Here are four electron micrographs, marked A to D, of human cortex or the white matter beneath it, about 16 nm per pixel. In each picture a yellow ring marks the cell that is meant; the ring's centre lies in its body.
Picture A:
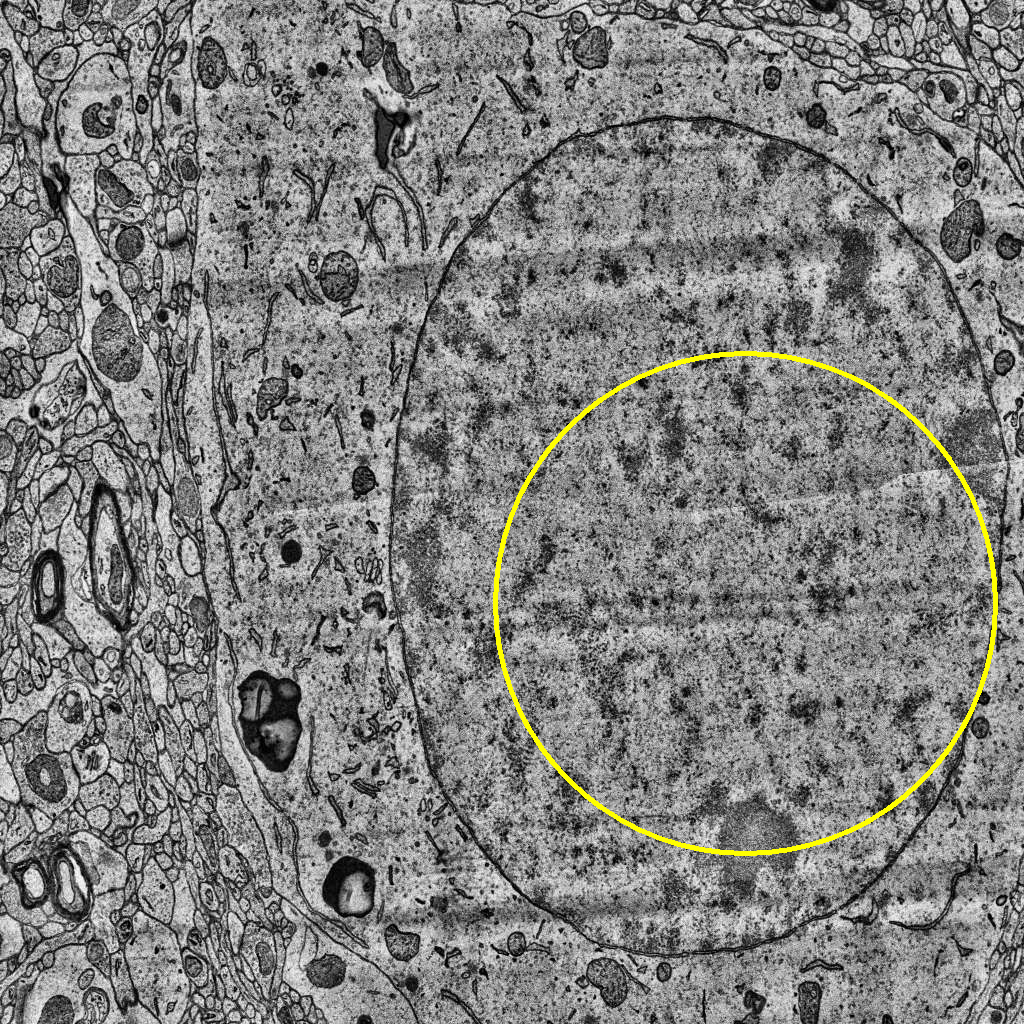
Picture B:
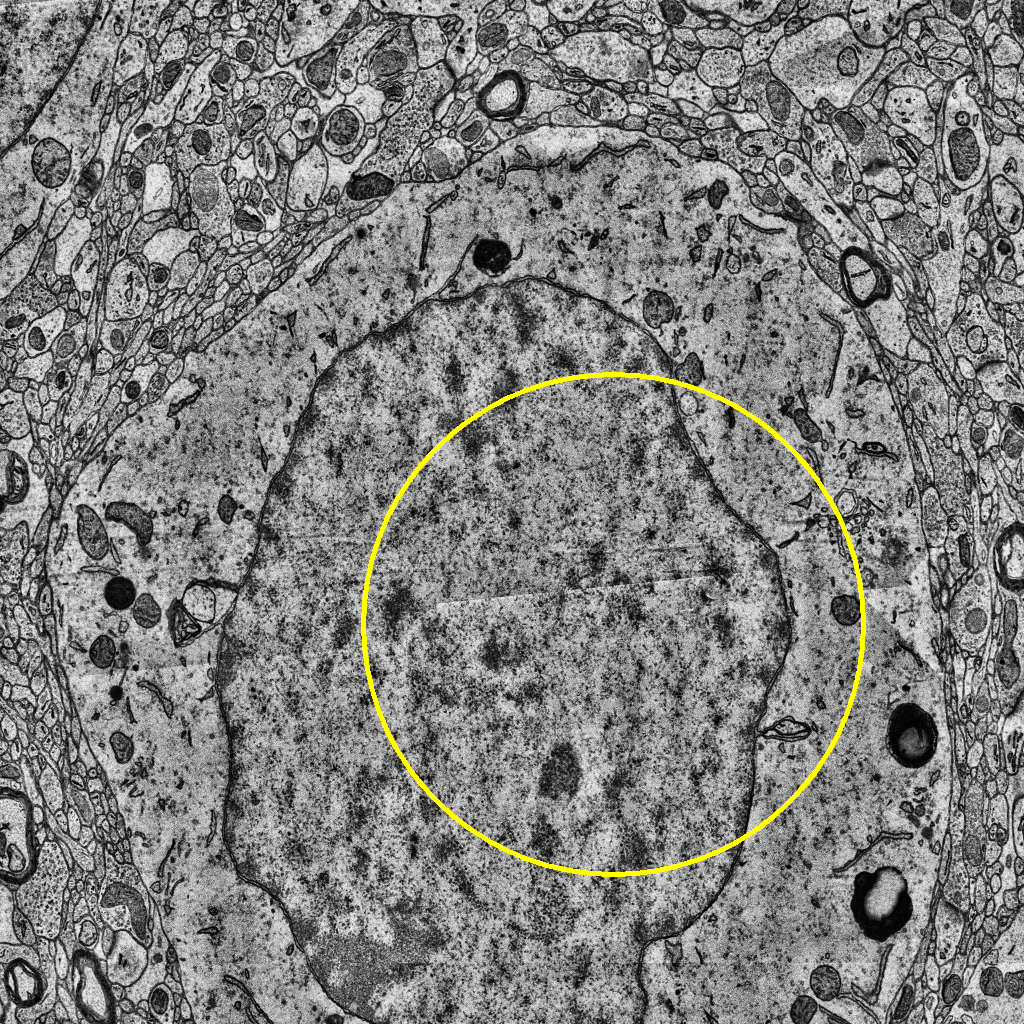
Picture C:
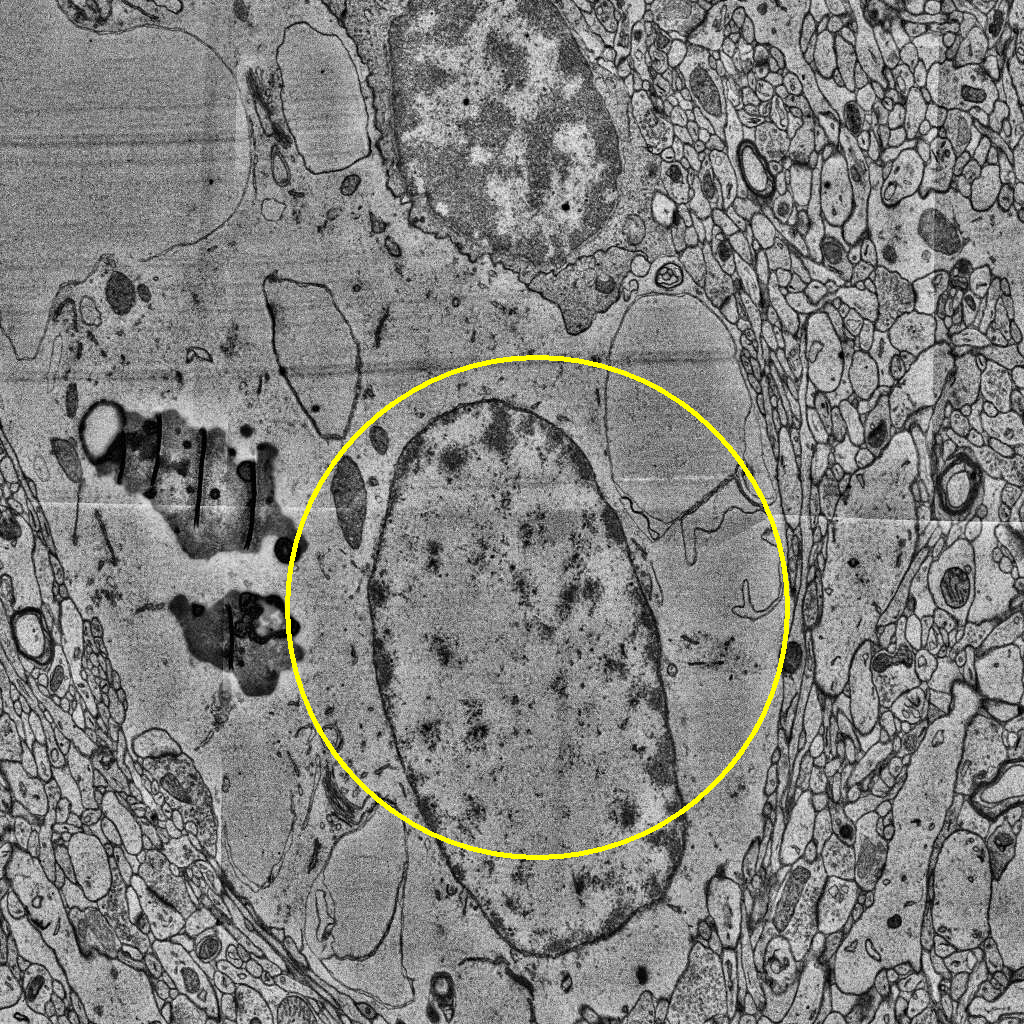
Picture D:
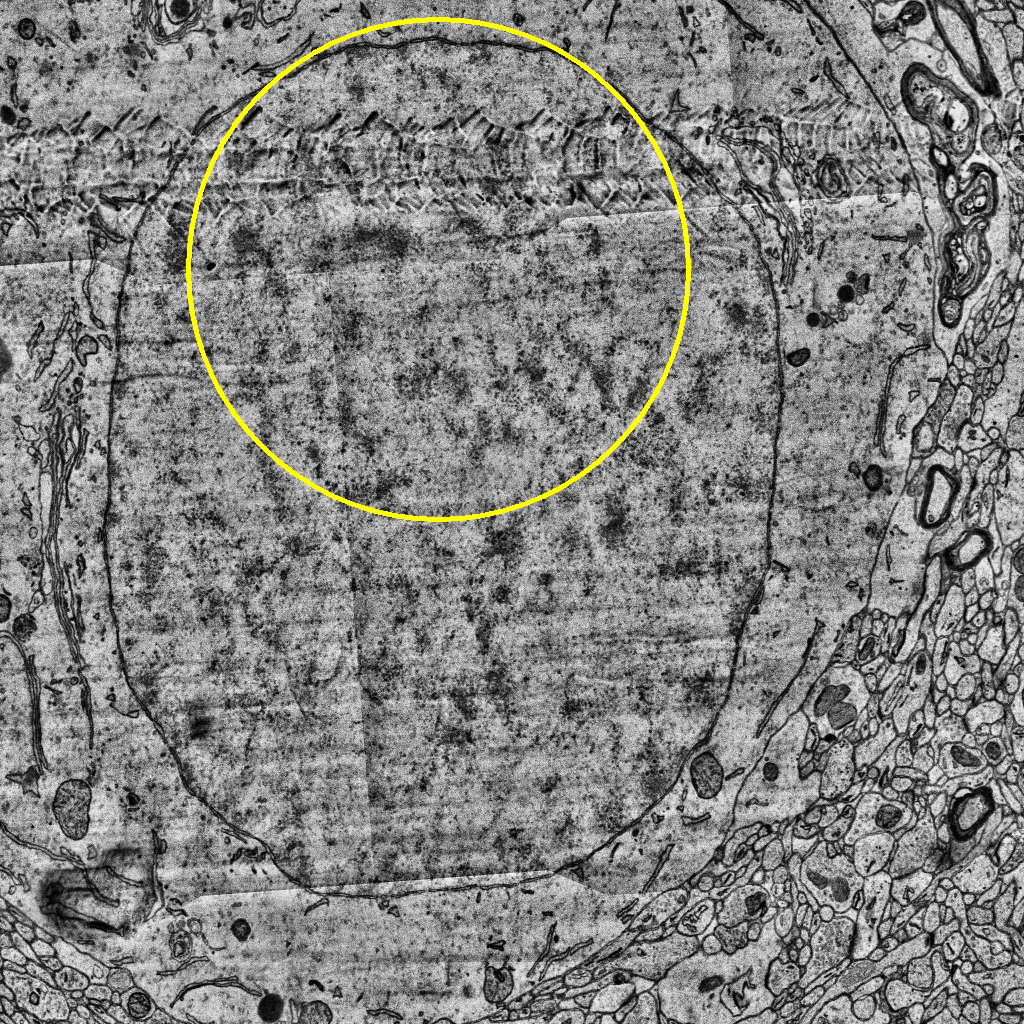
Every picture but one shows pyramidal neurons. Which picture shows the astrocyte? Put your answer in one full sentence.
It is picture C that shows the astrocyte.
